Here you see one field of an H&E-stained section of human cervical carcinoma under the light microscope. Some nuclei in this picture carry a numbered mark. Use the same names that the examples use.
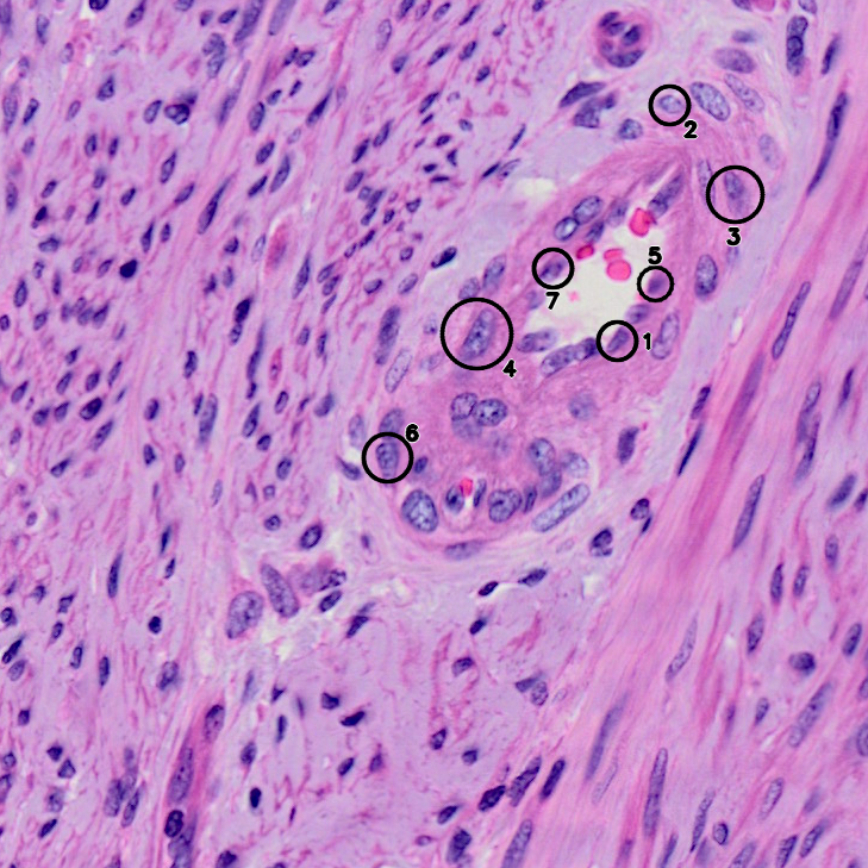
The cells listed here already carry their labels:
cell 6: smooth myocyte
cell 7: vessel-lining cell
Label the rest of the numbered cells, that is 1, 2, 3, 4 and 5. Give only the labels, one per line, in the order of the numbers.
vessel-lining cell
smooth myocyte
smooth myocyte
smooth myocyte
vessel-lining cell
